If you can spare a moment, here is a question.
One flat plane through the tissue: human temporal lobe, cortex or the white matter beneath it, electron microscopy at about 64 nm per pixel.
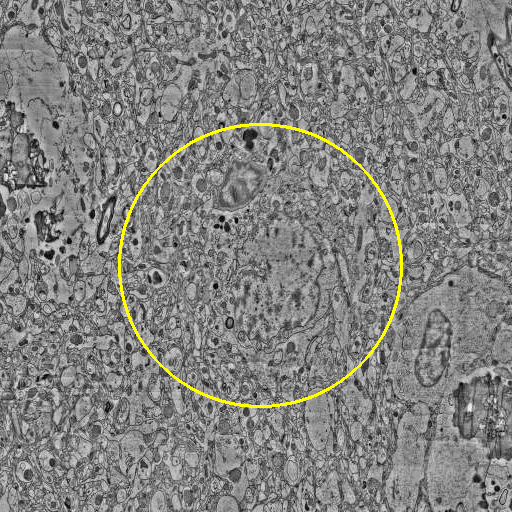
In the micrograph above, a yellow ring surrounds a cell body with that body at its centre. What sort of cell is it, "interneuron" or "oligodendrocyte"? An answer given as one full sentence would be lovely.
Centred inside the yellow ring, the cell body shown belongs to an interneuron in this micrograph.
